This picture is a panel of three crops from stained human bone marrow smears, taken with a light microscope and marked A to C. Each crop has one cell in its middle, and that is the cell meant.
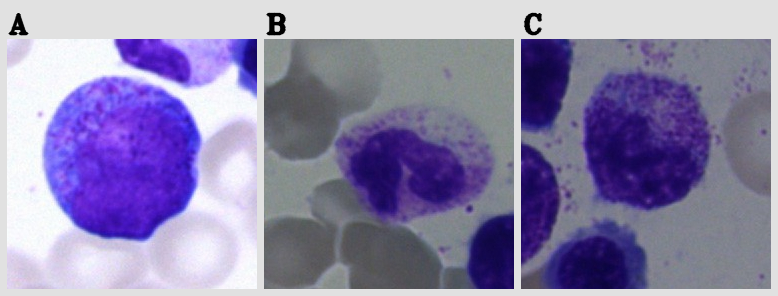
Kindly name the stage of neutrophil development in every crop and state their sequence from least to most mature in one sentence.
Ranked in ascending maturity, the crops are crop A (a promyelocyte), crop C (a metamyelocyte) and crop B (a band neutrophil).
